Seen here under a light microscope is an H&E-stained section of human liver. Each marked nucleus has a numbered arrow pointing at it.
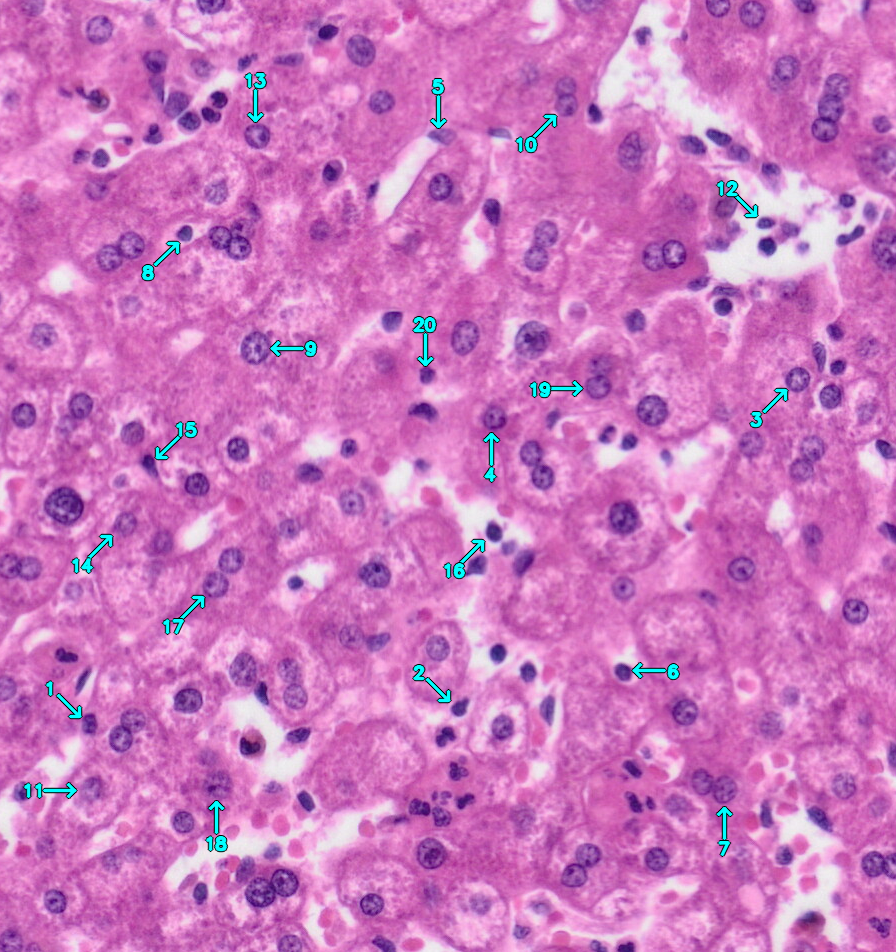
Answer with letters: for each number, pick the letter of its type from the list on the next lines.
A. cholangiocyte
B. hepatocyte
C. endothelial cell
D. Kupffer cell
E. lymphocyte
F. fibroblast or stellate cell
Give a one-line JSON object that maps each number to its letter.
{"1": "F", "2": "E", "3": "B", "4": "B", "5": "C", "6": "E", "7": "B", "8": "E", "9": "B", "10": "B", "11": "B", "12": "E", "13": "B", "14": "B", "15": "F", "16": "E", "17": "B", "18": "B", "19": "B", "20": "E"}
